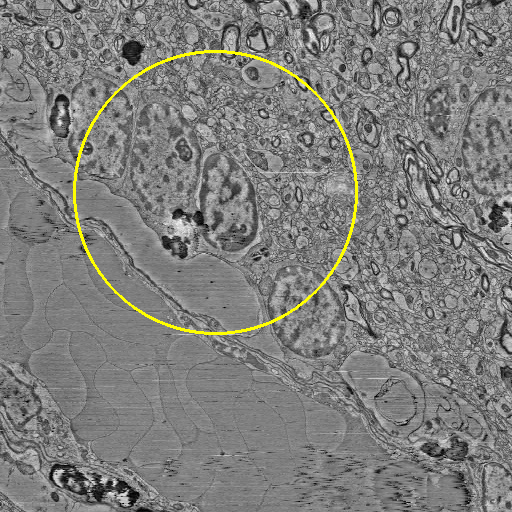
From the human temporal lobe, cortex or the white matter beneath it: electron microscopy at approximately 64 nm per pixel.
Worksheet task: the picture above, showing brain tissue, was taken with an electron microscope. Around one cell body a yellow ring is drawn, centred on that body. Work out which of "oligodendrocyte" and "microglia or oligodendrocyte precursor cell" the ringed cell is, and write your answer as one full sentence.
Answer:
It is a microglial cell or oligodendrocyte precursor cell whose cell body lies at the centre of the yellow ring.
